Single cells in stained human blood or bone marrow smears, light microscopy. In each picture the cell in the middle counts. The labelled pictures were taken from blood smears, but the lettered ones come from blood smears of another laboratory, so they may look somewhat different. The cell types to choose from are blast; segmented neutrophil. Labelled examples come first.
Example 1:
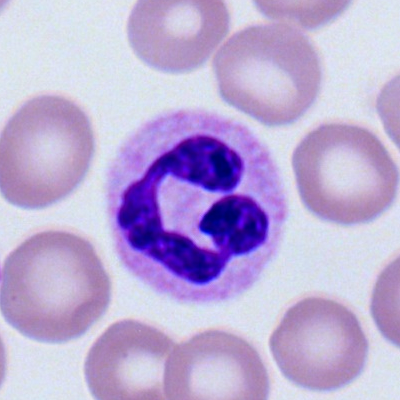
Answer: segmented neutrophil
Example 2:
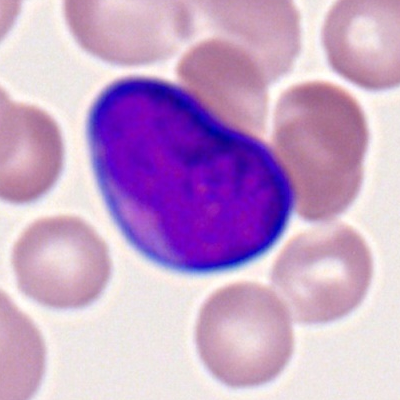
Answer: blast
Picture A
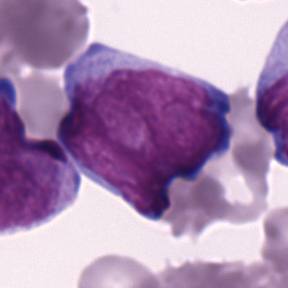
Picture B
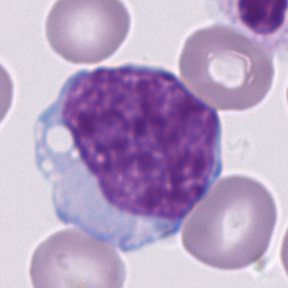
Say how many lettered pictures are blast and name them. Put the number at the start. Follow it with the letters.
2, namely A, B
